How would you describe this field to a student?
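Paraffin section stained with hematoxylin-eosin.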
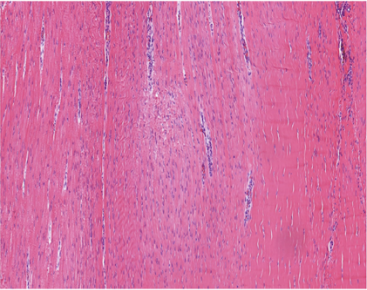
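This section shows dense fibrous connective tissue in which pink-staining fibres run in parallel from top to bottom. Between the fibres lie scattered, thin, elongated dark purple nuclei aligned with the fibre direction. Several narrow streaks run parallel to the fibres and hold denser groups of purple nuclei, giving them a more cellular look than the surrounding matrix. Near the middle of the field a patch shows more loosely arranged cells and a less regular fibre pattern. Thin clefts separate some of the fibre bundles.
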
